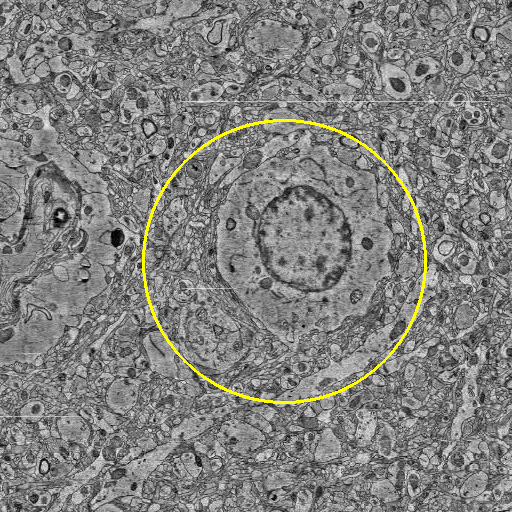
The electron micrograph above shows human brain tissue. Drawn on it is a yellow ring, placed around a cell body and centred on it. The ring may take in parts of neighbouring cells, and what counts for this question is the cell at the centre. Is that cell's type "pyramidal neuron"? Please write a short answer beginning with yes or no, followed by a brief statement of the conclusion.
No, its type is another one.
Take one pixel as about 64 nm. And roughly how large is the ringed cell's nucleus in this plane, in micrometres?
The nucleus has a long axis of about 7 micrometres and a short axis of about 6 micrometres in this plane.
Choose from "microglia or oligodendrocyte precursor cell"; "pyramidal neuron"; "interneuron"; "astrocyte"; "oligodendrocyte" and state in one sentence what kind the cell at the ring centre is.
The ringed cell in this picture is, instead, an astrocyte.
